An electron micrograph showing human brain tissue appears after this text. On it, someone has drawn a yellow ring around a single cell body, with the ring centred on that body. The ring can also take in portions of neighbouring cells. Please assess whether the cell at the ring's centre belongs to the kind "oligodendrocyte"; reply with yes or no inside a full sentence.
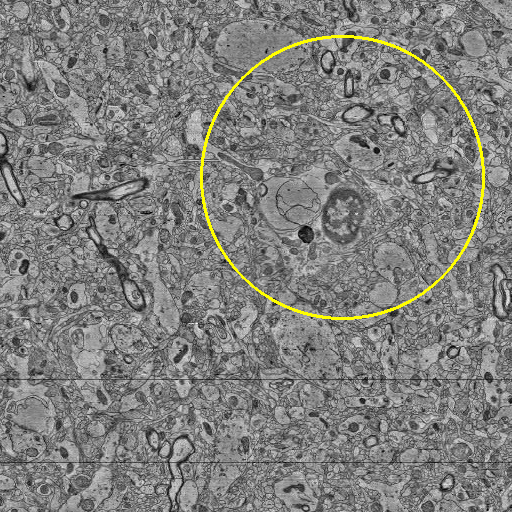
No, in this micrograph the cell at the centre of the ring is of another kind.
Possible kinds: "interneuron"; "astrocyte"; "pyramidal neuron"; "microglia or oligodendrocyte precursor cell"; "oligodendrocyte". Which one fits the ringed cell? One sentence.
Instead, the picture shows a microglial cell or oligodendrocyte precursor cell at the centre of the ring.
